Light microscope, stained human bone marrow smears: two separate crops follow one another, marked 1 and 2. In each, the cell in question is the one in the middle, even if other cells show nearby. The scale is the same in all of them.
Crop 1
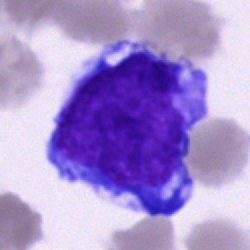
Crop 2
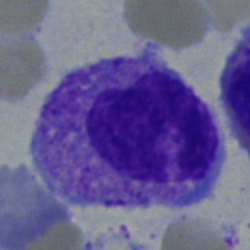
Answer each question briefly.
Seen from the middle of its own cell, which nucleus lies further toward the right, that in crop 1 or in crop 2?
2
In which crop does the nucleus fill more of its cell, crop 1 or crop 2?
1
